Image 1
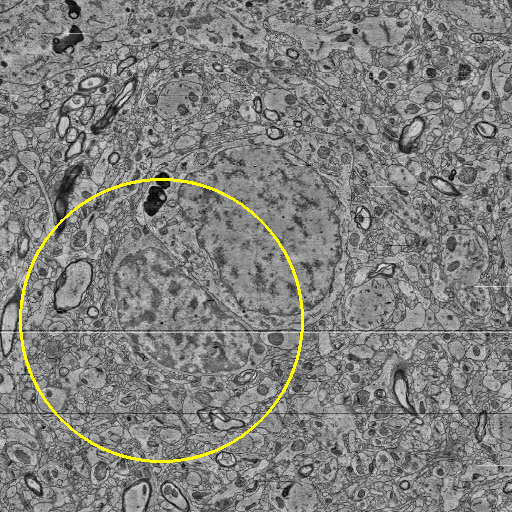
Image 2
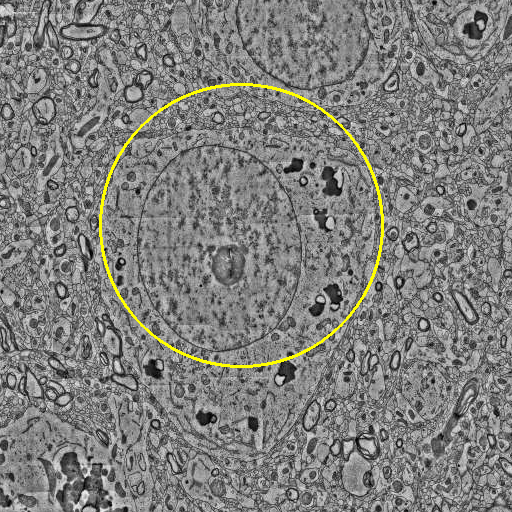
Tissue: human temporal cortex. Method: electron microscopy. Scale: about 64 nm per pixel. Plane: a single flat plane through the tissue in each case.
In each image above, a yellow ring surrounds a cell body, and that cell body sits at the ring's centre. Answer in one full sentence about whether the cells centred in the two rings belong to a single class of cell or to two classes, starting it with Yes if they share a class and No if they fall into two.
No, the cells centred in the two yellow rings belong to two classes of cell.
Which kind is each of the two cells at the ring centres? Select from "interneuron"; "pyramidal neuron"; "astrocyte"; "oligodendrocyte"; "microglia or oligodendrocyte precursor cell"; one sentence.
The cell at the centre of the ring is an oligodendrocyte in the first picture and a pyramidal neuron in the second.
